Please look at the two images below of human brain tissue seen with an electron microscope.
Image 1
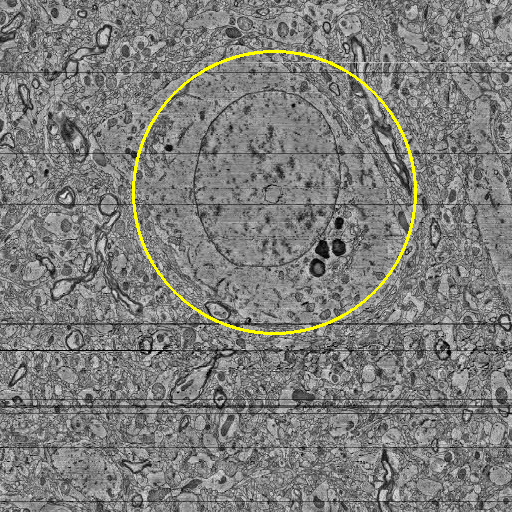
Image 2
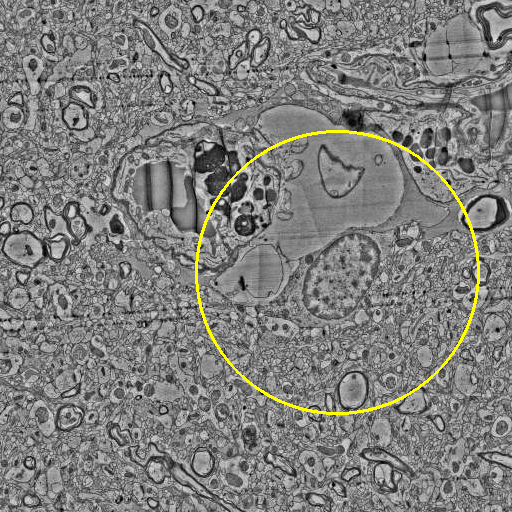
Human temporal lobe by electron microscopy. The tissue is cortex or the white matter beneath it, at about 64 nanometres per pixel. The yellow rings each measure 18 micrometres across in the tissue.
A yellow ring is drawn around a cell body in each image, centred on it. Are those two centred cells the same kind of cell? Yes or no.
no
